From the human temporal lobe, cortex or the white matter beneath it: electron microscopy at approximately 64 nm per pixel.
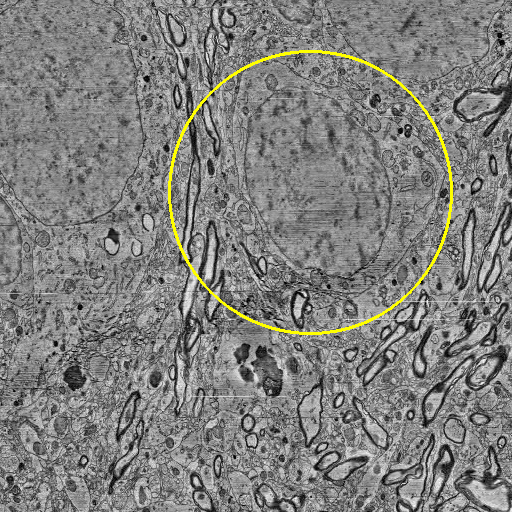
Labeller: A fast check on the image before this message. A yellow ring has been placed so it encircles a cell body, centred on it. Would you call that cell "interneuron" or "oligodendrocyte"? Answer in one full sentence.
In this image, an interneuron is the cell on which the yellow ring is centred.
